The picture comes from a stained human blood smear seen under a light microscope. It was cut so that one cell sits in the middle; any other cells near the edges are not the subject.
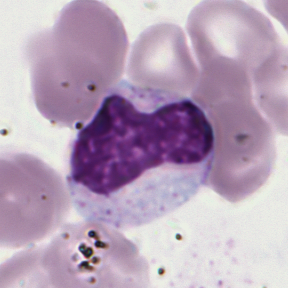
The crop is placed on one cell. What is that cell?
metamyelocyte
